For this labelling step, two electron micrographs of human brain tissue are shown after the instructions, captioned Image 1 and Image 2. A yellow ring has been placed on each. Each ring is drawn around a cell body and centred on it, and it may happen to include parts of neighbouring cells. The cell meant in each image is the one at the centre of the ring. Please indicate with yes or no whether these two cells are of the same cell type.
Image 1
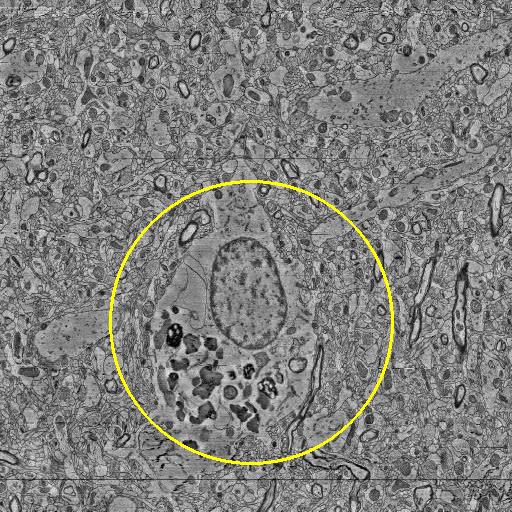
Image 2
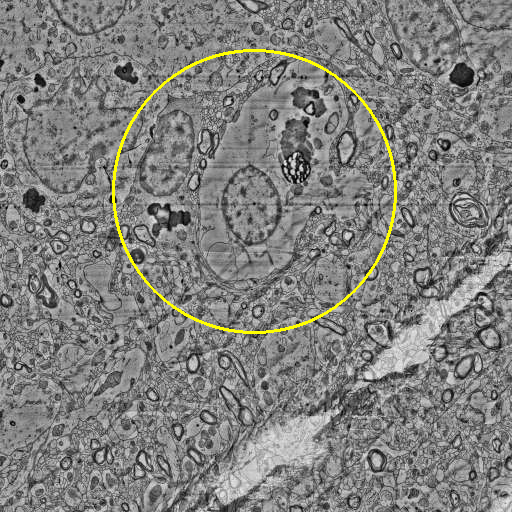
yes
